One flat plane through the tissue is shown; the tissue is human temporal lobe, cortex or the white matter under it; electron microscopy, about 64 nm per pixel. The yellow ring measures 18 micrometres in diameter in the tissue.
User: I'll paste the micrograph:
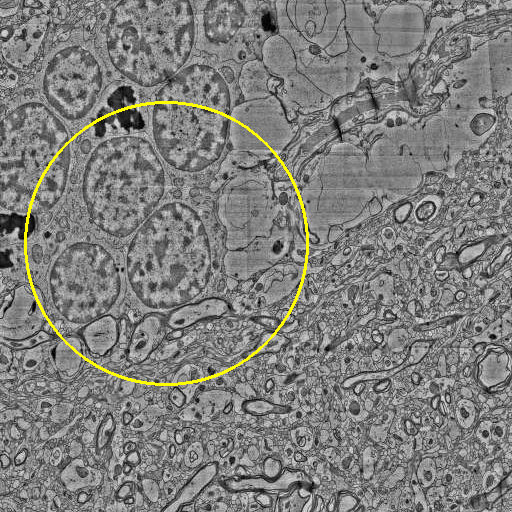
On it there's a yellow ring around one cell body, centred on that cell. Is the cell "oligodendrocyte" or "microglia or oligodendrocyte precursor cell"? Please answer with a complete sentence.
The cell ringed in yellow is an oligodendrocyte.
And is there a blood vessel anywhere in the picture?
Yes, the image shows a blood vessel.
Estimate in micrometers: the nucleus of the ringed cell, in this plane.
The nucleus is approximately 7 micrometers long by 6 micrometers wide in this plane.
